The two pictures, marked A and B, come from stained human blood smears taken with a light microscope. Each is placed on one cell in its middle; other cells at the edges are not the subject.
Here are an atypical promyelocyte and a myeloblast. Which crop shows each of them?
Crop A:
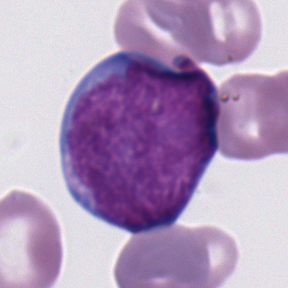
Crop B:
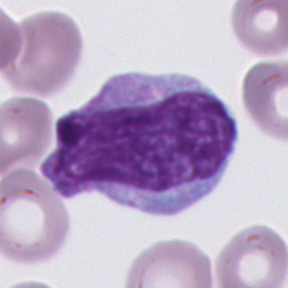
A: myeloblast
B: atypical promyelocyte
